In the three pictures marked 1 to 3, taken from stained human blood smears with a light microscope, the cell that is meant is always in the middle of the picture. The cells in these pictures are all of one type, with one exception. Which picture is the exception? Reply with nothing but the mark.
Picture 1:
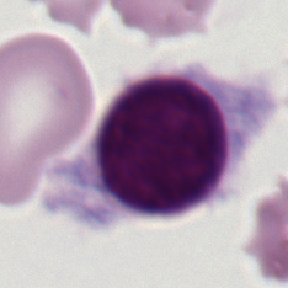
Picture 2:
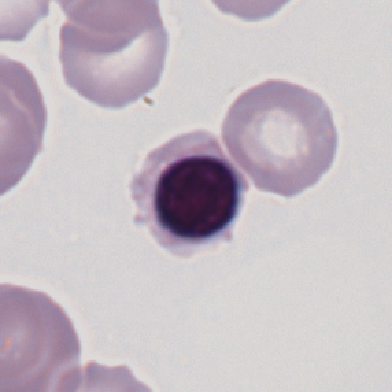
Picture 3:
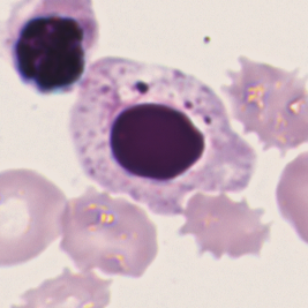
1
